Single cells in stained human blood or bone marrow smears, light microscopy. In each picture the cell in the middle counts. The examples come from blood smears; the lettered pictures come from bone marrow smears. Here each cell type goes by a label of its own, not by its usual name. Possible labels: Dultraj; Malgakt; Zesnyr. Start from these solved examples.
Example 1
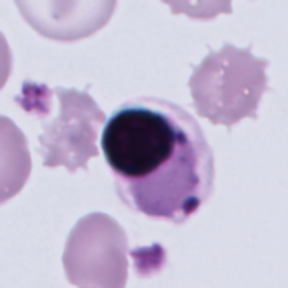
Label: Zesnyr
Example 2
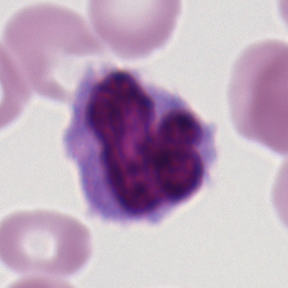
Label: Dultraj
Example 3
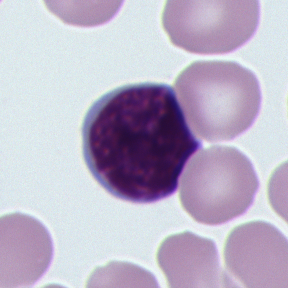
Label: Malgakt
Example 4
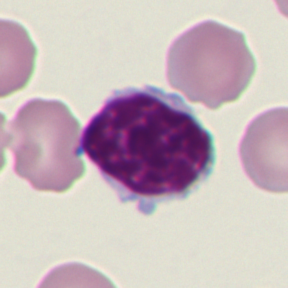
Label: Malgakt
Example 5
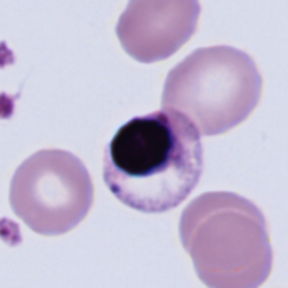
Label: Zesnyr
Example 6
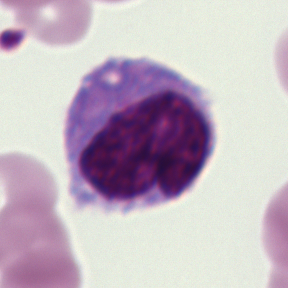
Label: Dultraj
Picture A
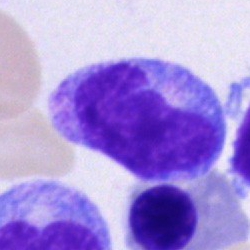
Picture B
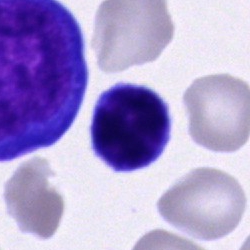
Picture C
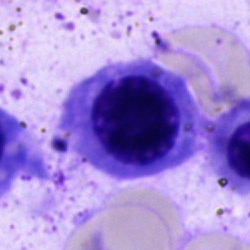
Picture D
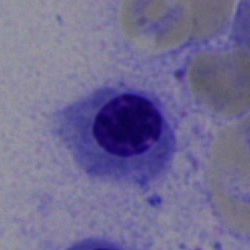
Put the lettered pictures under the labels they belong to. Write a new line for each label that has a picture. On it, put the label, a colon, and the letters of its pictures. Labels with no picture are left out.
Dultraj: A
Malgakt: B
Zesnyr: C, D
